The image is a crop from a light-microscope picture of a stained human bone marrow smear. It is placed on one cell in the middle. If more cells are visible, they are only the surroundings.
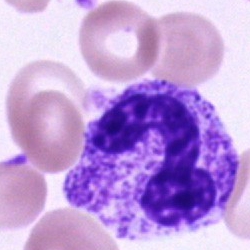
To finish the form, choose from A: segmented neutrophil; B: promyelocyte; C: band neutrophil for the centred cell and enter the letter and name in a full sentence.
Option C is right, the centrally situated cell being a band neutrophil.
